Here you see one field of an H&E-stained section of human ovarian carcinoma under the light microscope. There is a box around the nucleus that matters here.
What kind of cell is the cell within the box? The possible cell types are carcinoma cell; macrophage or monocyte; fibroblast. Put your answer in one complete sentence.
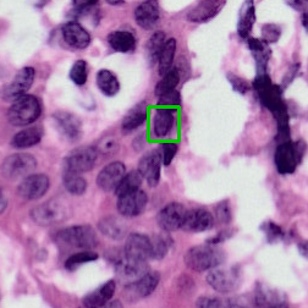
Labelled by cell type, the cell within the box is a carcinoma cell.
